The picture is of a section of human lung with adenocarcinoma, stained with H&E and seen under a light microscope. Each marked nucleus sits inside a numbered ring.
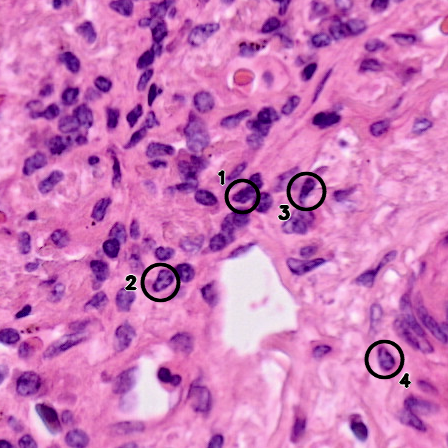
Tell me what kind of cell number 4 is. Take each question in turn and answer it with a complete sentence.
The nucleus labelled 4 belongs to a mast cell.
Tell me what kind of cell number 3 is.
Number 3 among the marked cells is a plasma cell.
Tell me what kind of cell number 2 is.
Identified as a lymphocyte is the cell bearing the number 2.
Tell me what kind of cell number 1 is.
The cell that goes by number 1 is a lymphocyte.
